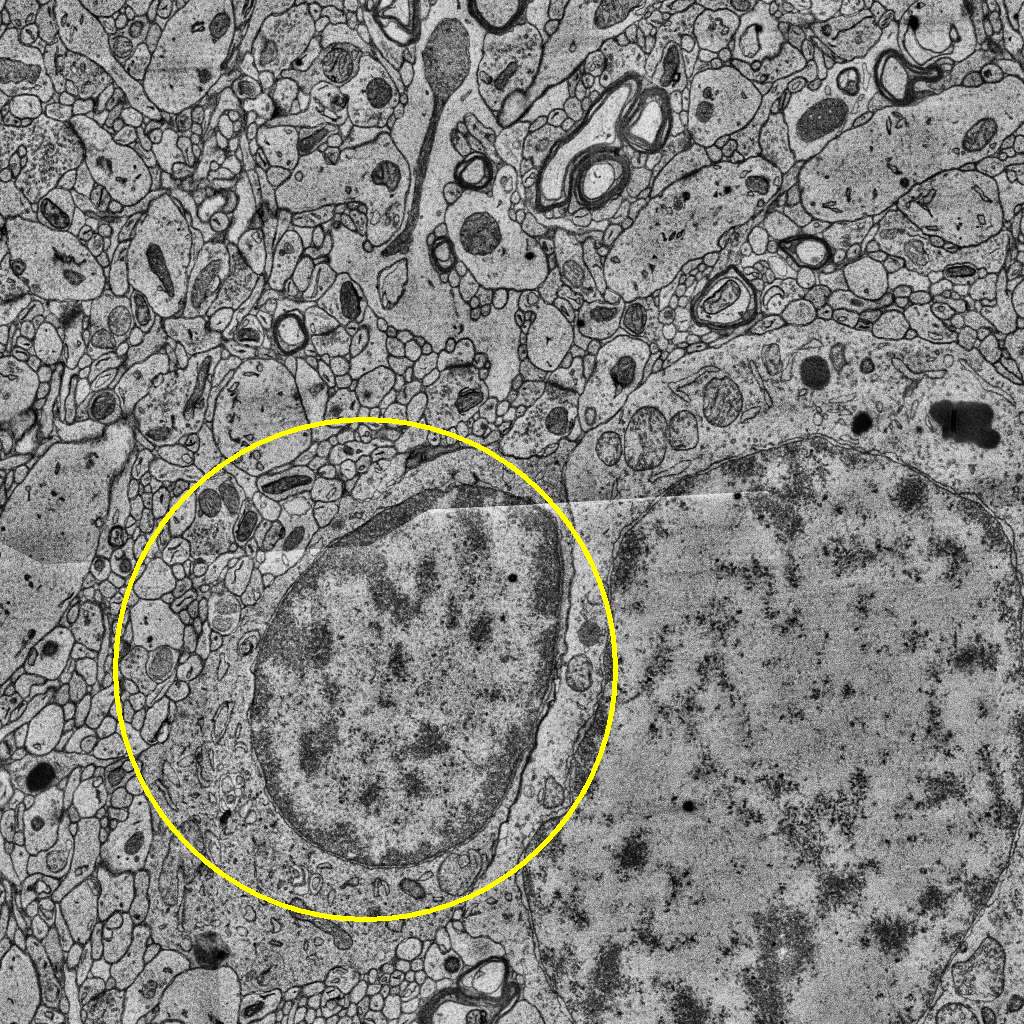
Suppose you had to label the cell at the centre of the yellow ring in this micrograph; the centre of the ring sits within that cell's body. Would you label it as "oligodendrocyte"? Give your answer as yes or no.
Yes, I would label it that way.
